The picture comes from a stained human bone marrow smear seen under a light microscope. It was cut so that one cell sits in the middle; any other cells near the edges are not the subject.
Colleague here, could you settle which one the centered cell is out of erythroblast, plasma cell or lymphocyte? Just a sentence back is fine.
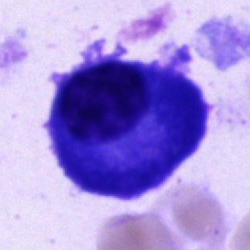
The cell under consideration, at the middle of the crop, is a plasma cell.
